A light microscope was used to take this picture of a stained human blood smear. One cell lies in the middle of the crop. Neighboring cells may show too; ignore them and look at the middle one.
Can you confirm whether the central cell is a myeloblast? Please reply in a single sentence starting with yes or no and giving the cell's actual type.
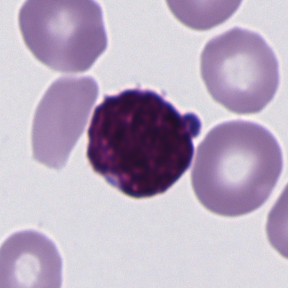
Yes, the middle cell here is a myeloblast.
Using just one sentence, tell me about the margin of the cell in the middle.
A ragged or projecting edge replaces the smooth outline in this cell.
